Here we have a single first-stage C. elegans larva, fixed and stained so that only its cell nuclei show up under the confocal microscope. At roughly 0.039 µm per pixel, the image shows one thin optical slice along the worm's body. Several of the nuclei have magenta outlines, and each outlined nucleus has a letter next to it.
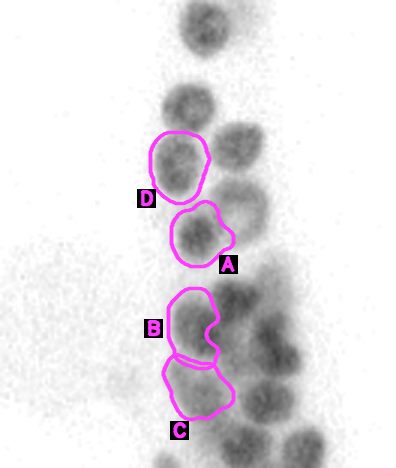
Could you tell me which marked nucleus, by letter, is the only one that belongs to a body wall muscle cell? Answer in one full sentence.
The nucleus of a body wall muscle cell is B.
